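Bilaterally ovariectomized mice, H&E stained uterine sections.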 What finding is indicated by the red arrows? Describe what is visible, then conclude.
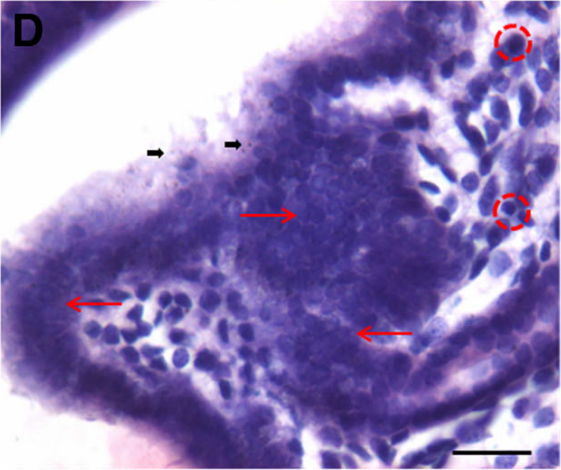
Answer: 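The epithelium forms a thick, piled-up mass of cells along the lumen. Nuclei are crowded with little cytoplasm between them. On this evidence: hyperplasia.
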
